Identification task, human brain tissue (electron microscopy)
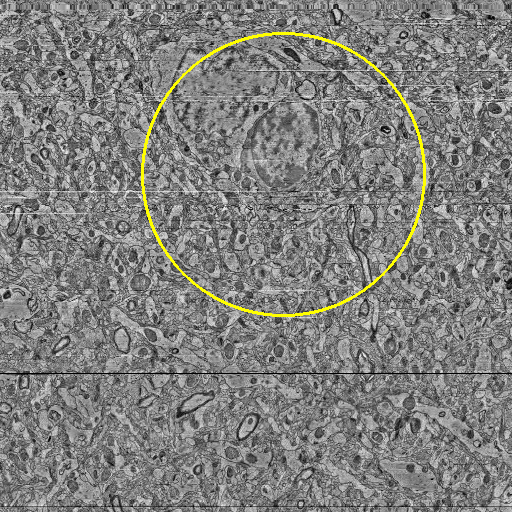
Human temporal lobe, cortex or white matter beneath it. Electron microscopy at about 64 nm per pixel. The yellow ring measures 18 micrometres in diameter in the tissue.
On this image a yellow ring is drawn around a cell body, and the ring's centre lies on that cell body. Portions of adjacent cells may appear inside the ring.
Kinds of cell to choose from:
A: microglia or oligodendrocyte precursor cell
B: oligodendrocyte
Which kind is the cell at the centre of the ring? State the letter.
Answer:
B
